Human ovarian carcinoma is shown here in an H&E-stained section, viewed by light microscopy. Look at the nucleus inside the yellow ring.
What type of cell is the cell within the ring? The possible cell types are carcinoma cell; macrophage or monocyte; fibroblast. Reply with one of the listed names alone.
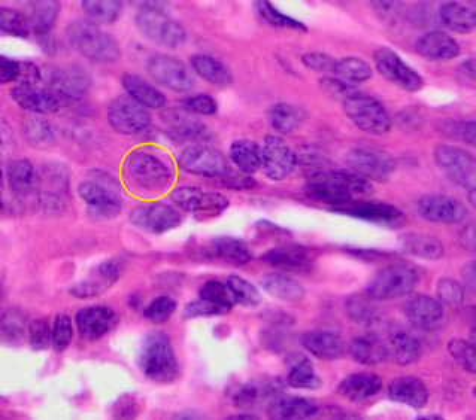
carcinoma cell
